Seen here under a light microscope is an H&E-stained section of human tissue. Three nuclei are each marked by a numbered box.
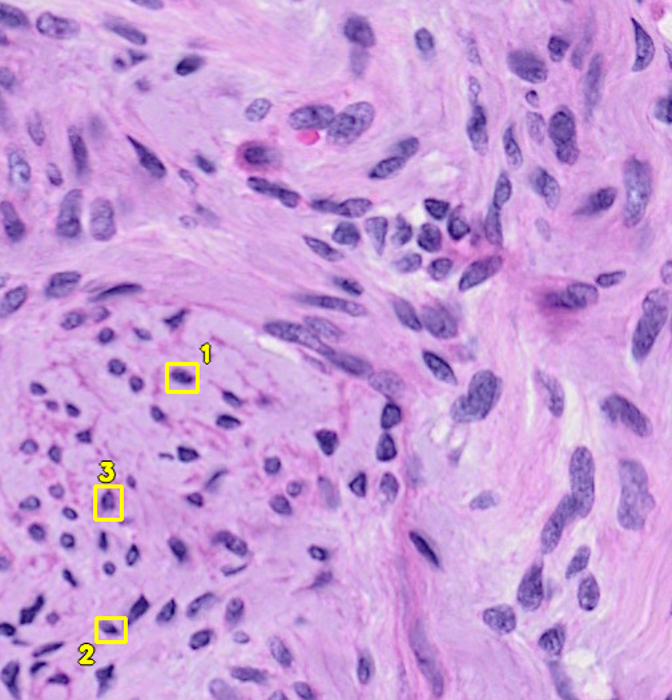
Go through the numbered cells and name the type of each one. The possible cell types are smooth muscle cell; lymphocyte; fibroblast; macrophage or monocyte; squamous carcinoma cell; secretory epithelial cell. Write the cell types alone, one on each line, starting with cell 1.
smooth muscle cell
fibroblast
smooth muscle cell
